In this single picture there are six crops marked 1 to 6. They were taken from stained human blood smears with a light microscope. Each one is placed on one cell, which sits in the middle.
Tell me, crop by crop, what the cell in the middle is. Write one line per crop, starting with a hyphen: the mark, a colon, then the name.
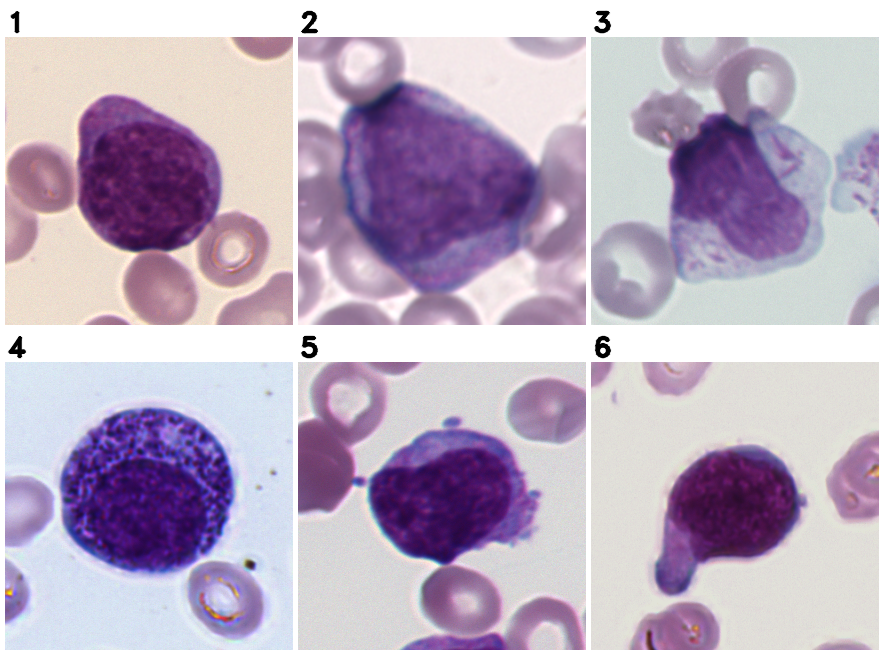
- 1: atypical promyelocyte
- 2: promyelocyte
- 3: atypical promyelocyte
- 4: promyelocyte
- 5: atypical promyelocyte
- 6: atypical promyelocyte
